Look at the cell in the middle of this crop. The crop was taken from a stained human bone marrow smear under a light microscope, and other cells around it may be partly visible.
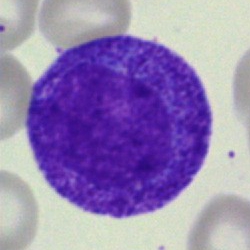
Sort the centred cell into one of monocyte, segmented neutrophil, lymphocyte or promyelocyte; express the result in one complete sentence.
The target cell in the middle of the crop is a promyelocyte.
